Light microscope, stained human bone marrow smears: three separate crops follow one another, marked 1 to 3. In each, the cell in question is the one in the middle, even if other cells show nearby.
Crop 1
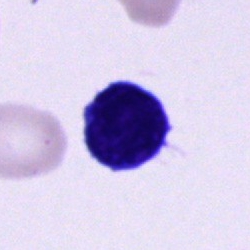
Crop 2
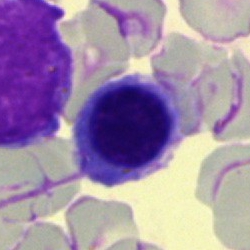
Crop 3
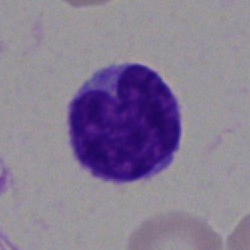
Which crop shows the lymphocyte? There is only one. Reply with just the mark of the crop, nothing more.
1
